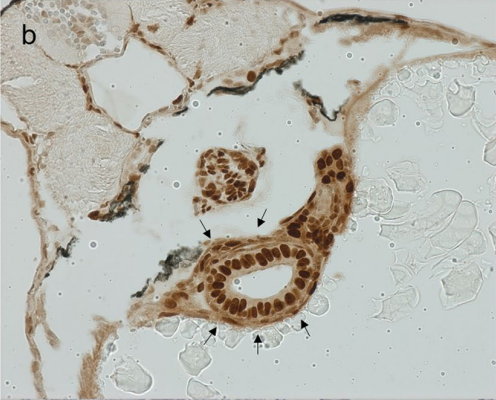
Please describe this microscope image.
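This cross section through the trunk shows the gut tube as a ring of tall columnar epithelial cells around a small central lumen, almost all with dark brown nuclei. Beside it lies a smaller compact cluster of cells whose nuclei are also brown. Above, blocks of muscle with pale cytoplasm and thin dark pigment streaks frame the section, while large pale yolk fragments fill the lower right.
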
